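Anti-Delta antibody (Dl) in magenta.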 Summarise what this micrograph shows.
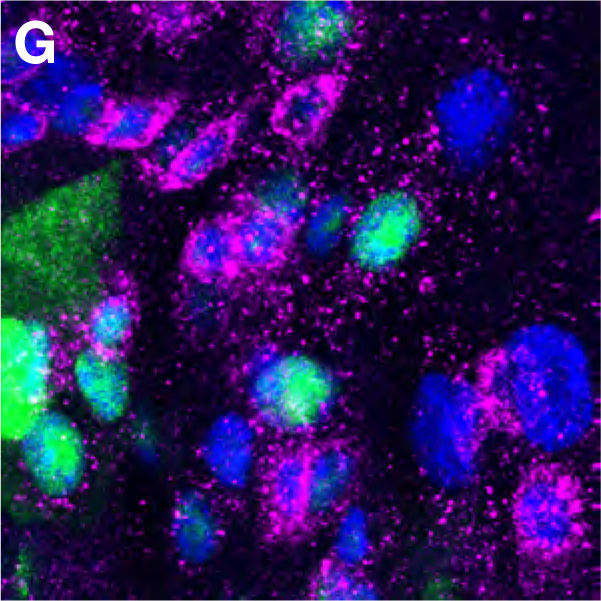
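Surface view of the midgut epithelium with many small intestinal stem cells, each outlined by a ring of fine magenta dots around a small blue nucleus. These magenta-ringed cells are numerous and scattered between larger blue nuclei. Several nuclei are green, and at the left edge a large green cell body fills part of the field. Magenta puncta also dust the spaces between cells. The small ringed cells lie in irregular groups rather than in an even pattern.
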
